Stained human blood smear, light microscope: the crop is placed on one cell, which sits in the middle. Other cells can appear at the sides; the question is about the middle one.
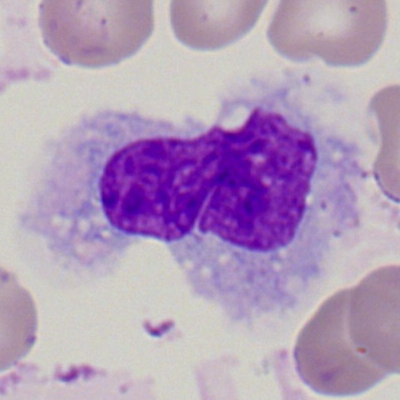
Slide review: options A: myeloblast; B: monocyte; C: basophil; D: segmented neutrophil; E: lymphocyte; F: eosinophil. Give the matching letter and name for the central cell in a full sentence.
The cell in the middle is a monocyte, and that makes option B correct.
